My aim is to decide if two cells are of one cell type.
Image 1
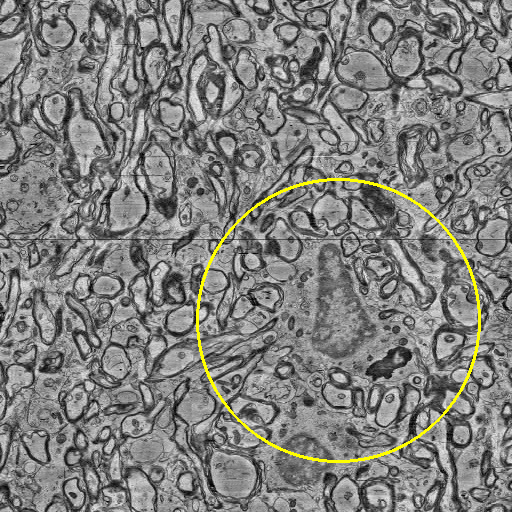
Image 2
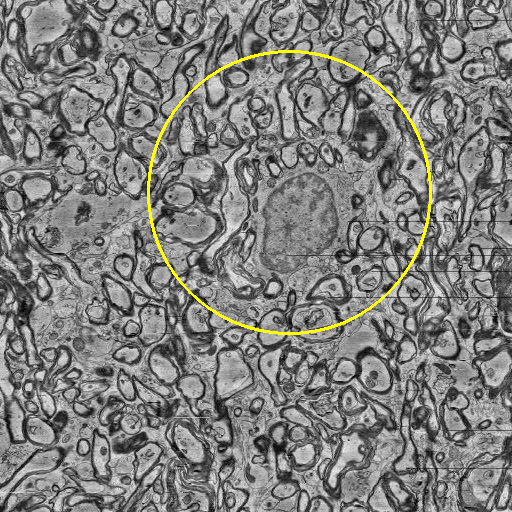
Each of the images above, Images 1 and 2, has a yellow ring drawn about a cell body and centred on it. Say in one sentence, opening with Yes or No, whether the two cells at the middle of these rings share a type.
Yes, in Images 1 and 2 the cells at the middle of the rings share one type.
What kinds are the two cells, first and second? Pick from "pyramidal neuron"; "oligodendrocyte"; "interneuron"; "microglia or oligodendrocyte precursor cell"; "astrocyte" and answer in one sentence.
In the first picture and in the second, the ring is centred on an oligodendrocyte.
